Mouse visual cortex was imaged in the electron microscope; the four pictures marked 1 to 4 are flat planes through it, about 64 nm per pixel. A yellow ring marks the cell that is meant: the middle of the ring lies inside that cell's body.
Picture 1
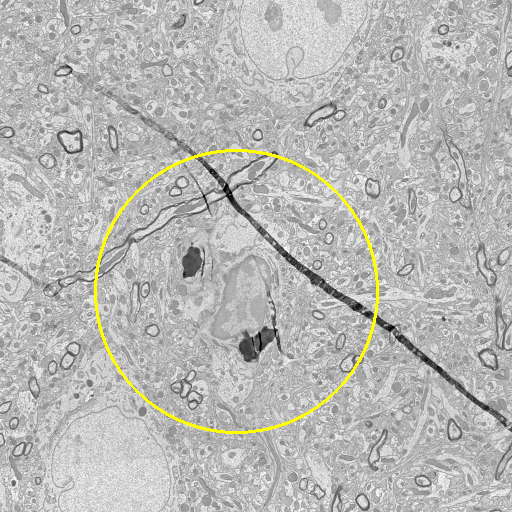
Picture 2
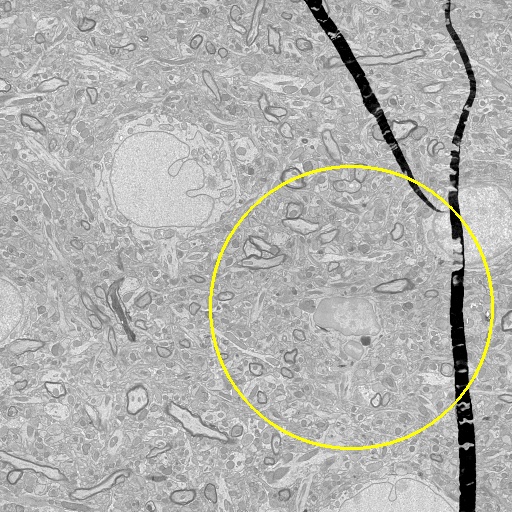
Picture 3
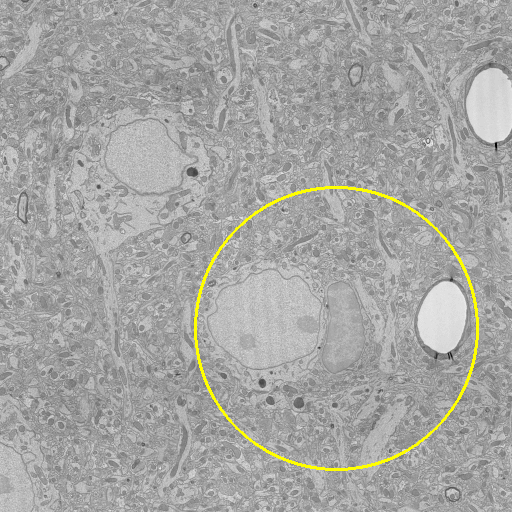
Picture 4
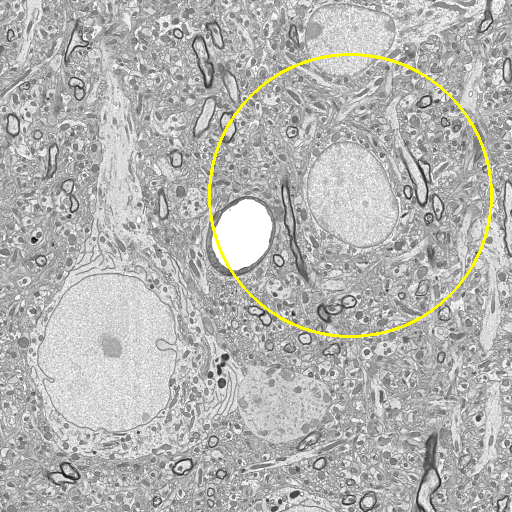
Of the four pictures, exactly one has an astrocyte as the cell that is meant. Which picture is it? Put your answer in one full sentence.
It is picture 4 that shows the astrocyte.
